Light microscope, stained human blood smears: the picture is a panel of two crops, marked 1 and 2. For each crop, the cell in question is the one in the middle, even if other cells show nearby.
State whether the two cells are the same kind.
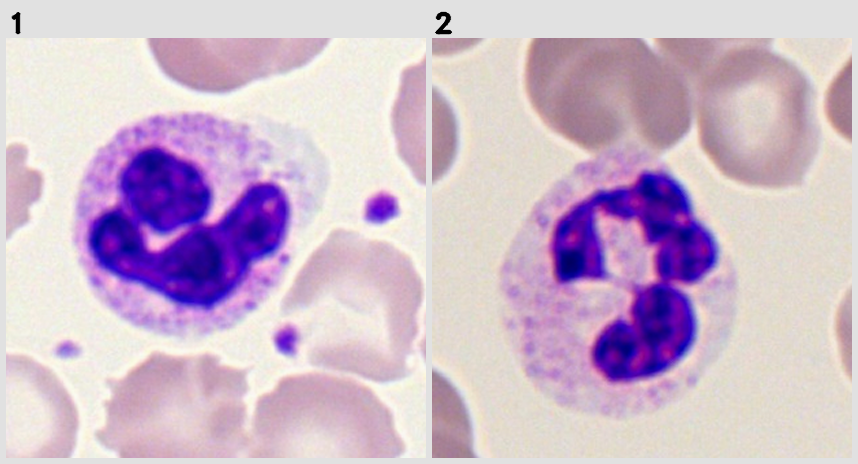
yes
